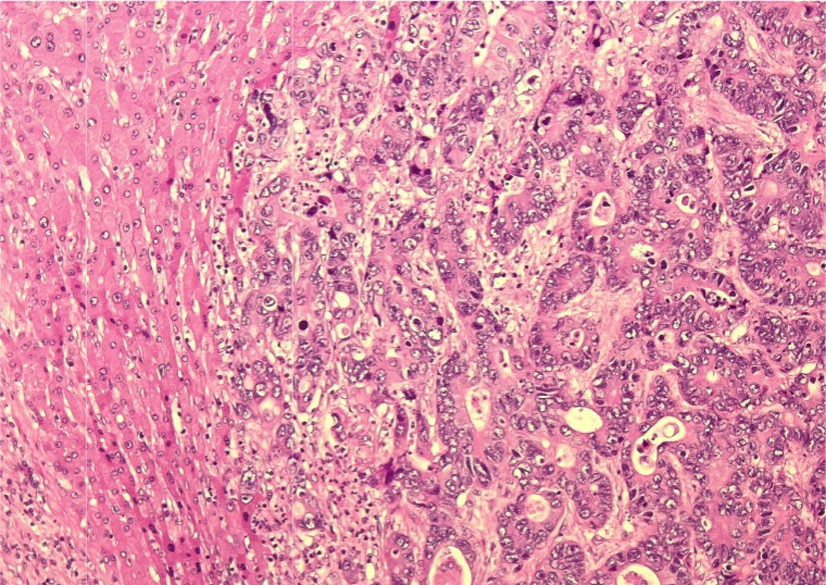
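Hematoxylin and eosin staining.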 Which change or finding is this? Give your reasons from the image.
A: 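Irregular, crowded glands with open lumens fill the right part of the field. Gland-lining cells have enlarged, crowded, hyperchromatic nuclei. Some tumor areas lose glandular formation and grow in cords and nests. Some lumens contain debris. So: moderately differentiated tubular adenocarcinoma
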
